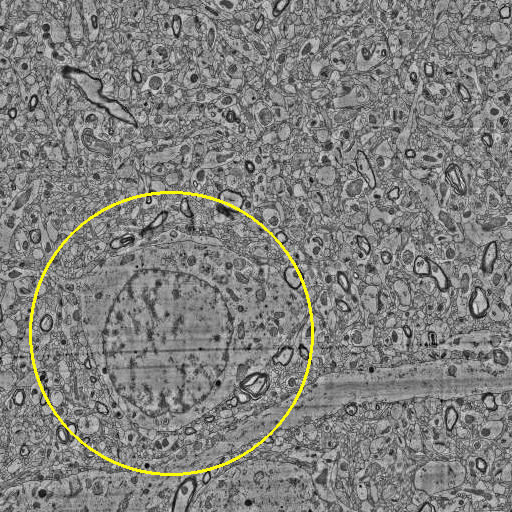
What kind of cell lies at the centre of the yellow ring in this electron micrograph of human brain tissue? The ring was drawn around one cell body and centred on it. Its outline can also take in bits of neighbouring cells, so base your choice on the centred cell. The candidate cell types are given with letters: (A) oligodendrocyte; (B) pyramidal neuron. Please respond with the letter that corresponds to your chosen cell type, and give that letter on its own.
B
